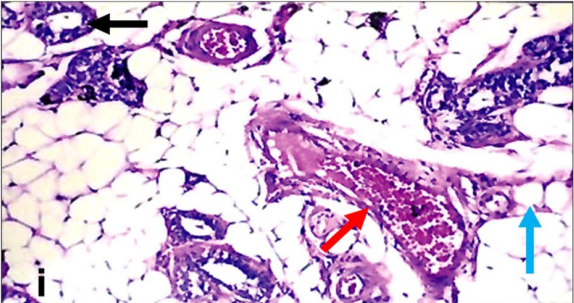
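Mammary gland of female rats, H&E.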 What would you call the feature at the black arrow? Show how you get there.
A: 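Ducts. The black arrow points to a small round tubular profile with an open lumen. The lumen is lined by a single layer of cells with dark purple nuclei.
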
